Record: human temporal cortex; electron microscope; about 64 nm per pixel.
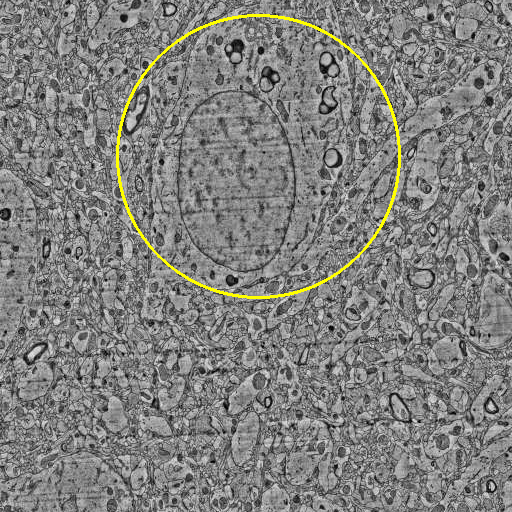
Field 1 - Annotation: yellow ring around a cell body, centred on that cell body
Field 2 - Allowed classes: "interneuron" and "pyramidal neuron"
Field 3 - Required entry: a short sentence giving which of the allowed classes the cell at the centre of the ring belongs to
The centred cell is a pyramidal neuron.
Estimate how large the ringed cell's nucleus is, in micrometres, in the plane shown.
Roughly 12 micrometres by 8 micrometres, so the nucleus is clearly longer than it is wide in this plane.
